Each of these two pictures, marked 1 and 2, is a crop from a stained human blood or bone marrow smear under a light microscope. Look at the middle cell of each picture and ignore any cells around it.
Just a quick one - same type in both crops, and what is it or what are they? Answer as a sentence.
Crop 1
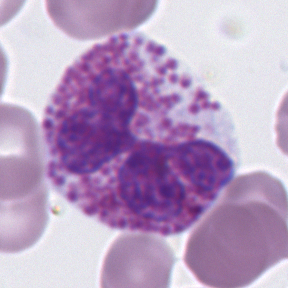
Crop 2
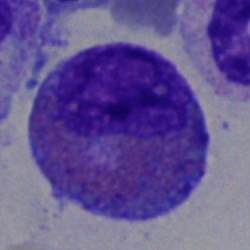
Yes, the cells at the centre of the two crops are both eosinophils.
